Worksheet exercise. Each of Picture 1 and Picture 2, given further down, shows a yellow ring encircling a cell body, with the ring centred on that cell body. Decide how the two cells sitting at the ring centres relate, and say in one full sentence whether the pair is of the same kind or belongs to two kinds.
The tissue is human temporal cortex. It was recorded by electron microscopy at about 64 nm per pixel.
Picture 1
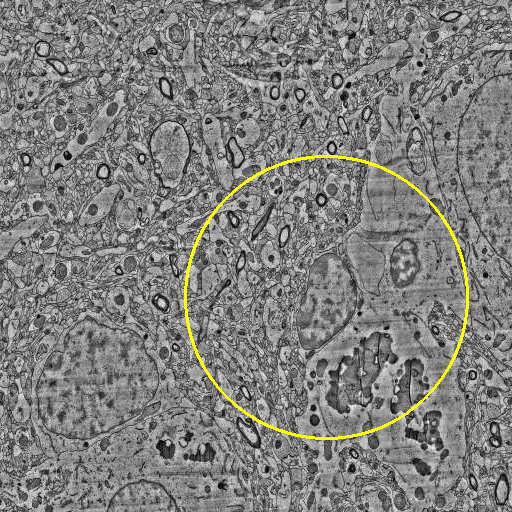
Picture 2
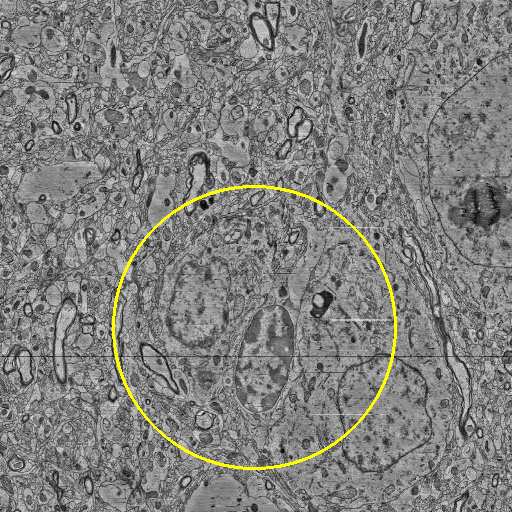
The cells at the ring centres in Picture 1 and Picture 2 are of the same kind.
